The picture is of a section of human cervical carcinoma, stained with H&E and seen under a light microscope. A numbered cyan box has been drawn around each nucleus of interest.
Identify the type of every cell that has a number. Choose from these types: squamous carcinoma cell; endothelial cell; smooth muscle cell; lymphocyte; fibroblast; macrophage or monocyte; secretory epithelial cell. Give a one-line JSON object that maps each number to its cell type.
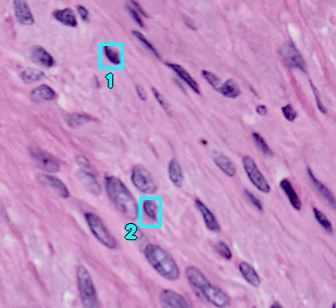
{"1": "fibroblast", "2": "smooth muscle cell"}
